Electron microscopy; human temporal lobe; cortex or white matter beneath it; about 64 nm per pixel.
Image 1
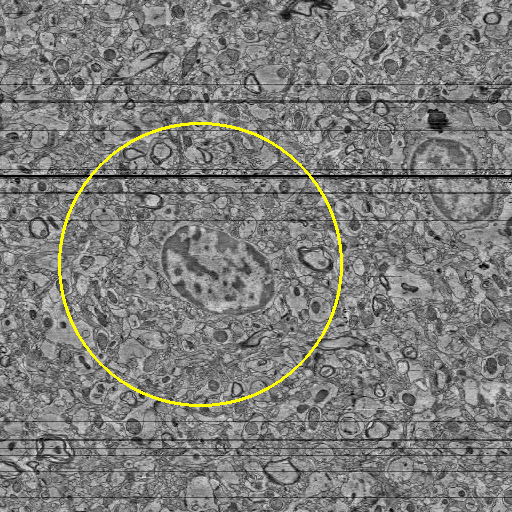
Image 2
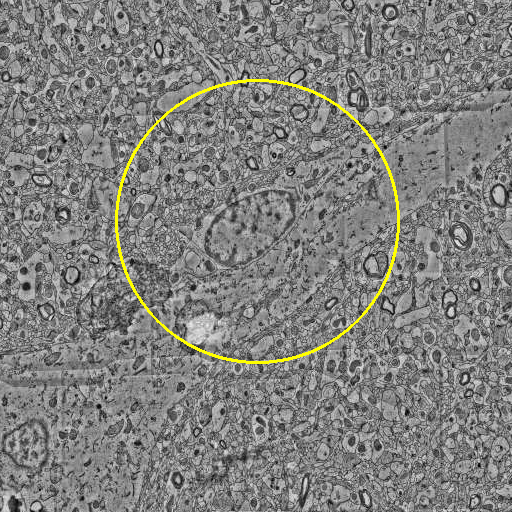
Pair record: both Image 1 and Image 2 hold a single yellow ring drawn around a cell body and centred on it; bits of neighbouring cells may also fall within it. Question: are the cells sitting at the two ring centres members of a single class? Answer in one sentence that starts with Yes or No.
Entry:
Yes, both ring-centre cells in Image 1 and Image 2 are members of one class.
